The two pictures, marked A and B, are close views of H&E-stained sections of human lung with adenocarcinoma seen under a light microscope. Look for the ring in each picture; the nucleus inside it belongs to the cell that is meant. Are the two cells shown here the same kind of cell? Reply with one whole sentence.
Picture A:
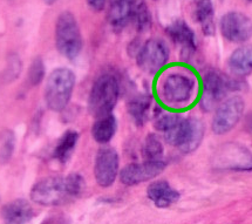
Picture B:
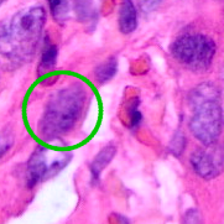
No. Picture A shows a ciliated epithelial cell, but picture B shows a carcinoma cell.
